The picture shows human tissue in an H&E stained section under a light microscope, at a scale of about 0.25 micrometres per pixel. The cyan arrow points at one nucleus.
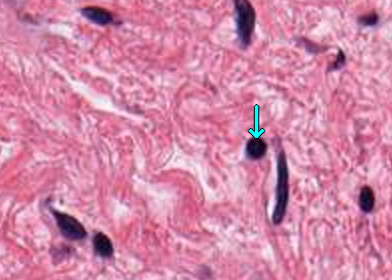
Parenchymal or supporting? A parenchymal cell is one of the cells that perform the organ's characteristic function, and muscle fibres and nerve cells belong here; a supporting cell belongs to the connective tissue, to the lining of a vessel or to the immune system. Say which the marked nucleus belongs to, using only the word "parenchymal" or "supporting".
supporting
